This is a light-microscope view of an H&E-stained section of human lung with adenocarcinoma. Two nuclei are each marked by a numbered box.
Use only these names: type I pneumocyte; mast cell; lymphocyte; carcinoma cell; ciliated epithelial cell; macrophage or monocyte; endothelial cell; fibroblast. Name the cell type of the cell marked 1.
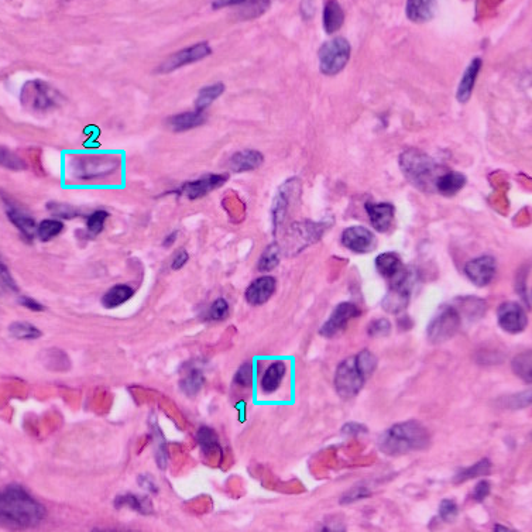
lymphocyte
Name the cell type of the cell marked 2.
endothelial cell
